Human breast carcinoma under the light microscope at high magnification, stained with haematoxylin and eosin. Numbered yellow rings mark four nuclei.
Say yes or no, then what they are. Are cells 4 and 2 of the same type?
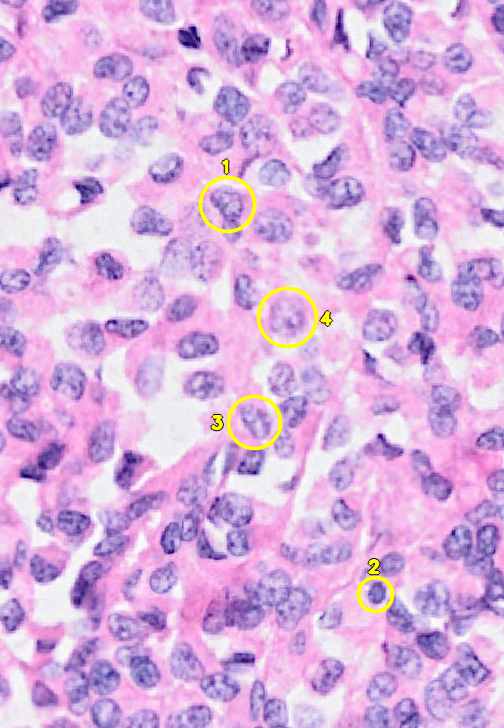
No, cell 4 here is a carcinoma cell, and cell 2 here is a lymphocyte.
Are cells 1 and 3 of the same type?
Yes, that is correct, cells 1 and 3 are both carcinoma cells.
